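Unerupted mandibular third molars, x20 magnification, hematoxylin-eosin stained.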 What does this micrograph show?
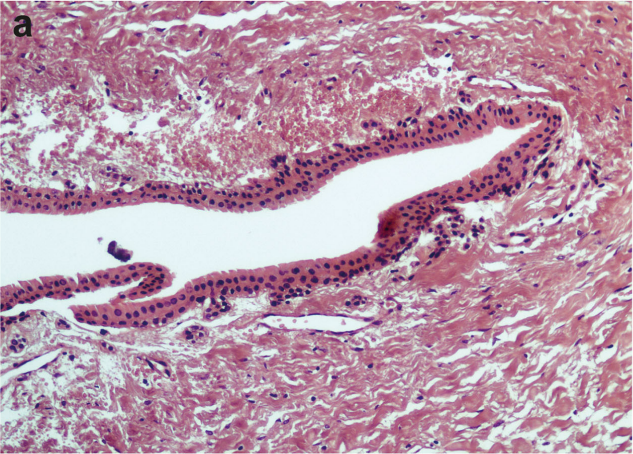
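This is the connective tissue of a dental follicle, with a cleft lined by reduced enamel epithelium. Small thin-walled blood vessels run in the connective tissue just beneath the epithelium, and the tissue above the cleft contains scattered red blood cells.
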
